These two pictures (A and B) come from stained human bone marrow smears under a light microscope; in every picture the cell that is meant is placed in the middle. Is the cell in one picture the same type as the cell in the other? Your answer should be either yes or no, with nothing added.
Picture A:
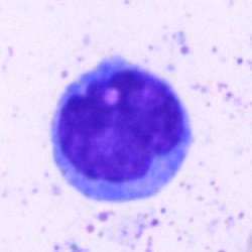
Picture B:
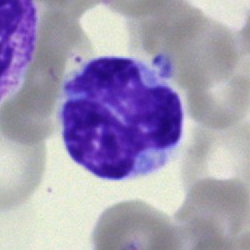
yes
